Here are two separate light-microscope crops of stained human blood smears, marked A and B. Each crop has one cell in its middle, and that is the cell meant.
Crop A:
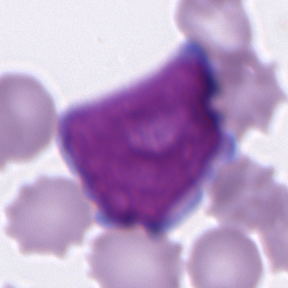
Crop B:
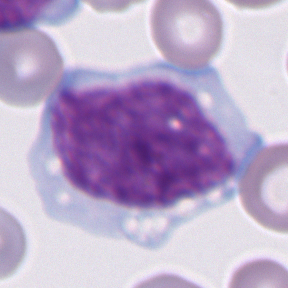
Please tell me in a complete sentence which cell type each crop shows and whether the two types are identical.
Yes, both crops are centred on cells that are myeloblasts.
